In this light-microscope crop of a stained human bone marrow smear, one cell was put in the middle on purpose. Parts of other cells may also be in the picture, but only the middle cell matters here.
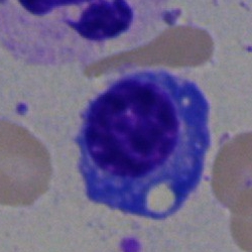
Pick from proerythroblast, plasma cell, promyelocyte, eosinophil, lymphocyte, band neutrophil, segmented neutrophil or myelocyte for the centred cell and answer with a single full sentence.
The crop shows a plasma cell in its centre.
